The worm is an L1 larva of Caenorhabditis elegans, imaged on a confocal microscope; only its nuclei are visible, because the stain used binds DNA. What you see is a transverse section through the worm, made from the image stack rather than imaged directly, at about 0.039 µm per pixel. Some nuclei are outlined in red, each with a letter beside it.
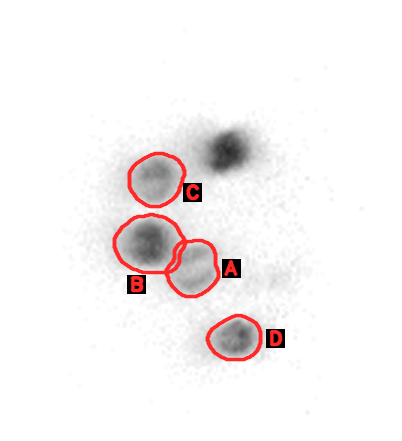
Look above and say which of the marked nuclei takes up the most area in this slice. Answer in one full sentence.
Of the marked nuclei, B is the biggest in this section.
